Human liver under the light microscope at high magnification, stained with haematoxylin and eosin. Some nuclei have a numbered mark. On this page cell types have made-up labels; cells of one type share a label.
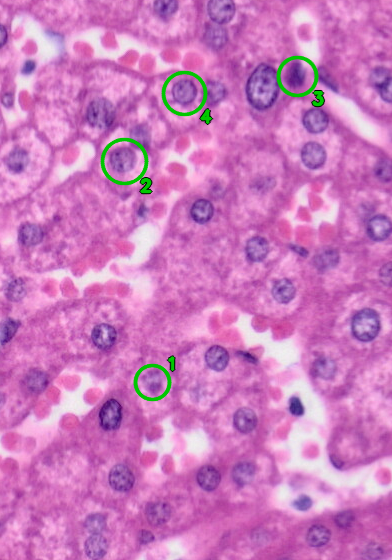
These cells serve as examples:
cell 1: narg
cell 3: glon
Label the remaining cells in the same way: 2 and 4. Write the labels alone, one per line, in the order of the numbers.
narg
narg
